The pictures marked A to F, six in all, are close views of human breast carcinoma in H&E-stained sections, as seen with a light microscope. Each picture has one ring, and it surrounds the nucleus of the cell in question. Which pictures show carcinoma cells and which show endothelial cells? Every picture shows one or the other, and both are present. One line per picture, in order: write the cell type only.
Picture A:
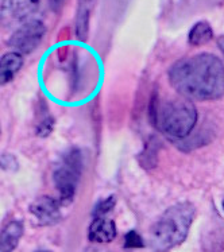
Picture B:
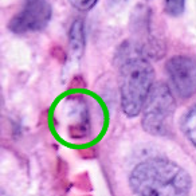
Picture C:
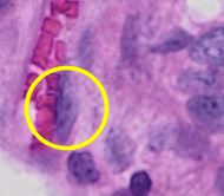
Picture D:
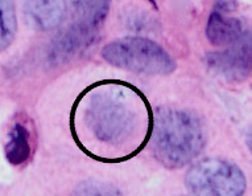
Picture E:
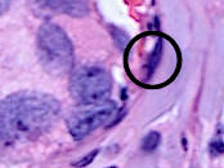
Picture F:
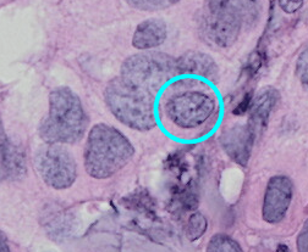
endothelial cell
endothelial cell
endothelial cell
carcinoma cell
endothelial cell
carcinoma cell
